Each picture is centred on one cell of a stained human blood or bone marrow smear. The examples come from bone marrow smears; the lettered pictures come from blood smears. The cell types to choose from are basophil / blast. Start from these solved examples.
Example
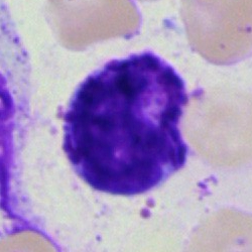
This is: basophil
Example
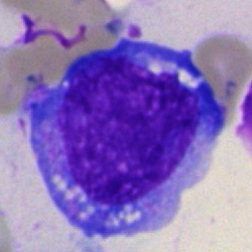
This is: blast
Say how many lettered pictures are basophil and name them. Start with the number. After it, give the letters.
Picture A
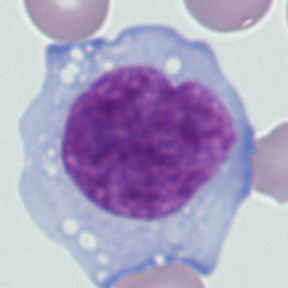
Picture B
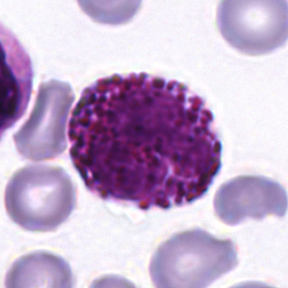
1: B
